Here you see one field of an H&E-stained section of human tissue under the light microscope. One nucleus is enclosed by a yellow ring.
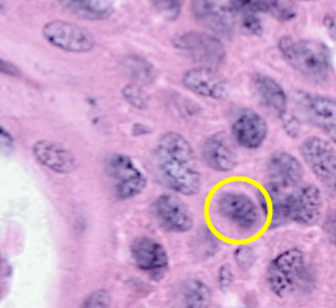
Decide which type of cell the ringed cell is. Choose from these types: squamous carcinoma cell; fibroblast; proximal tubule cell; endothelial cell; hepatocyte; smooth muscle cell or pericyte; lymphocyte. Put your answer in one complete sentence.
In the stained section, the ringed cell is a squamous carcinoma cell.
